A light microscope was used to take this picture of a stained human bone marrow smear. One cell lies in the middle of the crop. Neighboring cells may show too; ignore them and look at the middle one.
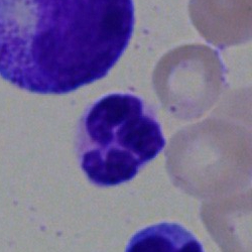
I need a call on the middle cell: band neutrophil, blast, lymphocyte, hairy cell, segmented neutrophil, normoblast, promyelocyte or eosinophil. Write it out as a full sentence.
Centred in the crop is a segmented neutrophil.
